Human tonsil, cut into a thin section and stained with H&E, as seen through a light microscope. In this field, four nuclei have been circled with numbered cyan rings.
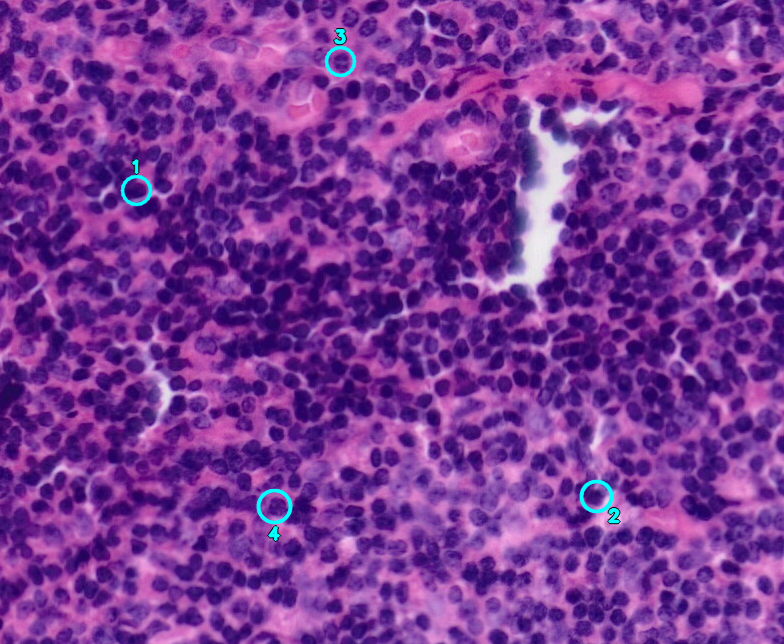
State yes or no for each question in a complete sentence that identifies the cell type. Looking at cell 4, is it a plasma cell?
No, cell 4 is classified as a small lymphocyte rather than a plasma cell.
